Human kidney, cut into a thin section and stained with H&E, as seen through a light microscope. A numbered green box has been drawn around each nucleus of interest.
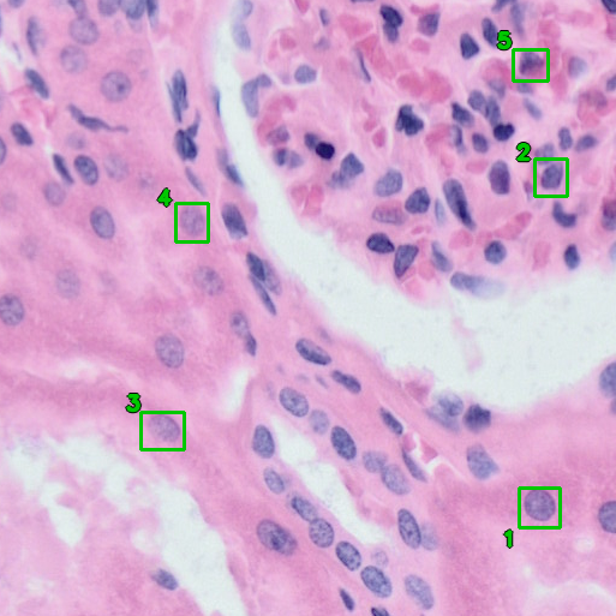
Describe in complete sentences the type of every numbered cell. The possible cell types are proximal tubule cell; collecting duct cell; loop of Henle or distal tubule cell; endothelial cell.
Cells 1, 3 and 4 are proximal tubule cells. Cells 2 and 5 are endothelial cells.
